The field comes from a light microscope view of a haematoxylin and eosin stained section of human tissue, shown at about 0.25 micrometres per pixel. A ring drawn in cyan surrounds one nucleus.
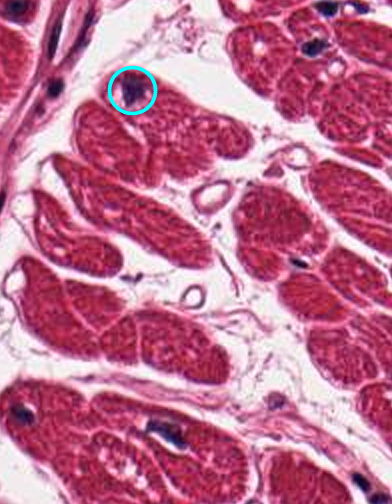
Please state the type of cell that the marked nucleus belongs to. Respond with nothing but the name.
cardiomyocyte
